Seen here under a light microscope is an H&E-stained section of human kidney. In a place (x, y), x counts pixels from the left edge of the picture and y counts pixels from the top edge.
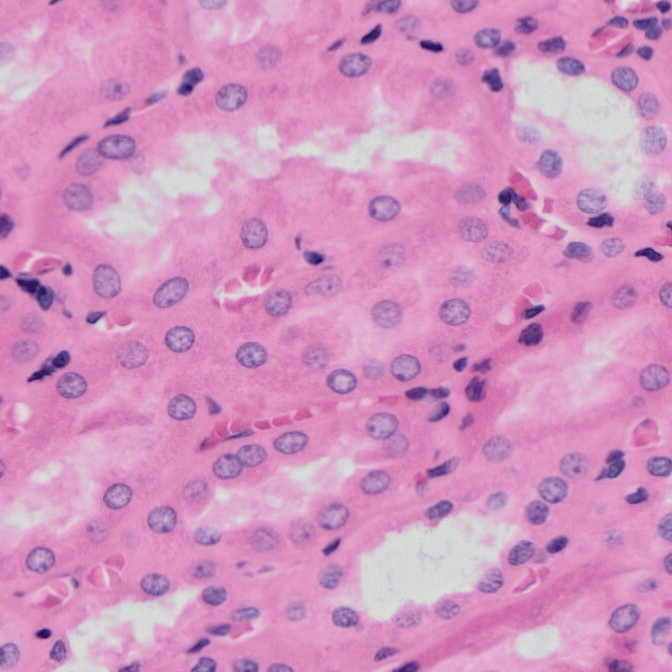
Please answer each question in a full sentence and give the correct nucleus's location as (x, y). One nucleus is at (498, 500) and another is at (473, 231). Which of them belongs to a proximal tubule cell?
The nucleus positioned at (473, 231) forms part of a proximal tubule cell.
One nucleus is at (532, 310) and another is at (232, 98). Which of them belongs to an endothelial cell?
Assigned to an endothelial cell is the nucleus located at (532, 310).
